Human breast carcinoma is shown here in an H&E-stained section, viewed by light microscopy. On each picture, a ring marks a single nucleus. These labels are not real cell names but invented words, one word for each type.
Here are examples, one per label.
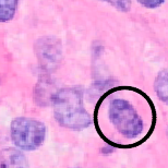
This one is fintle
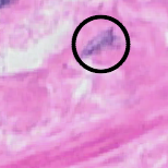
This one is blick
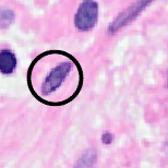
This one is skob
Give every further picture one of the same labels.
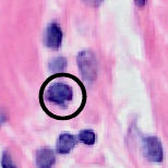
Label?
skob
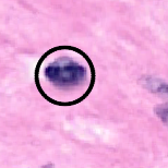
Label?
skob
